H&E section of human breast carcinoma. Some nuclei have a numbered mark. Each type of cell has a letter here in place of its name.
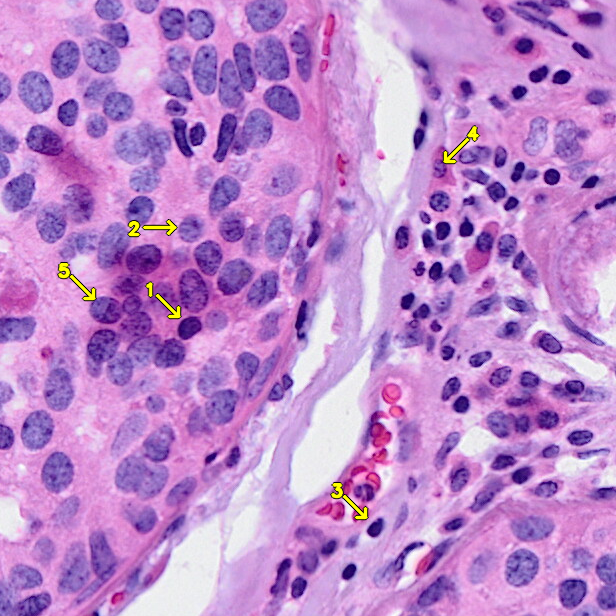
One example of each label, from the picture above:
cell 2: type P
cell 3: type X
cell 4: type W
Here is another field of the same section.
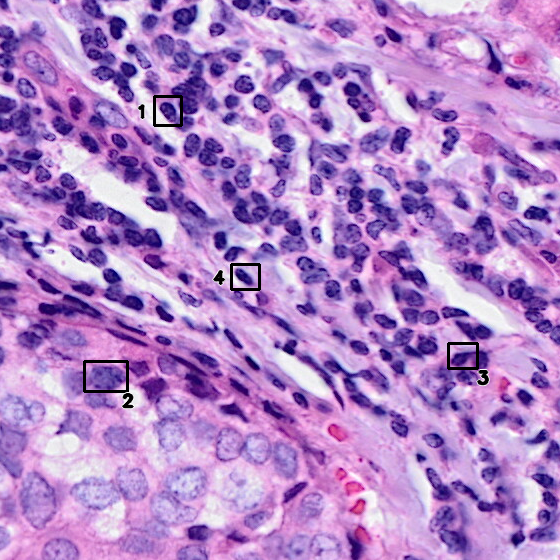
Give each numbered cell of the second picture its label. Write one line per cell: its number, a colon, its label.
1: type X
2: type P
3: type X
4: type X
